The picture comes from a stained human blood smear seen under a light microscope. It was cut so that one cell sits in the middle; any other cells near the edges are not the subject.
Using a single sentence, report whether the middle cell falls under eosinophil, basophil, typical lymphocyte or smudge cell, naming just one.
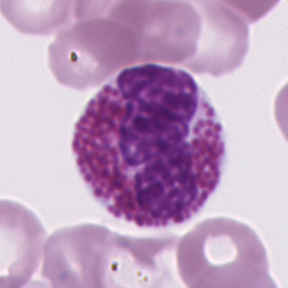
Classified as an eosinophil is the cell in the middle of this crop.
